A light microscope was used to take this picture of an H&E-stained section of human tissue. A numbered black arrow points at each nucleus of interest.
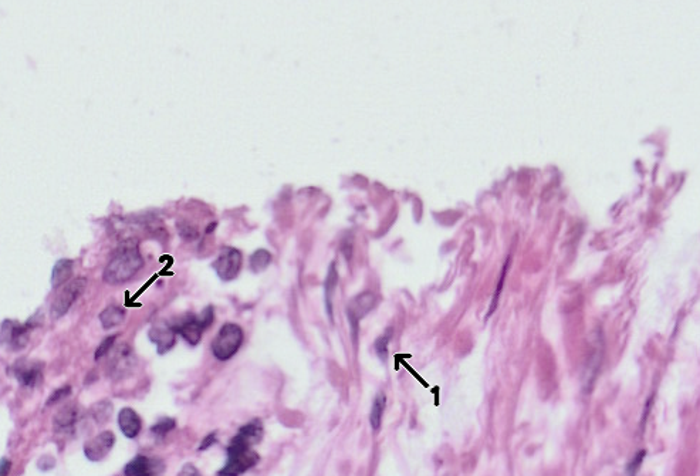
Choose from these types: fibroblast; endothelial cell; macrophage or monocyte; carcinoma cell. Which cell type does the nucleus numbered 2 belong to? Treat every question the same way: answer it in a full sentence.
The cell that carries the label 2 is a macrophage or monocyte.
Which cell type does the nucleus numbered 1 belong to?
Regarding cell 1, this one is a fibroblast.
